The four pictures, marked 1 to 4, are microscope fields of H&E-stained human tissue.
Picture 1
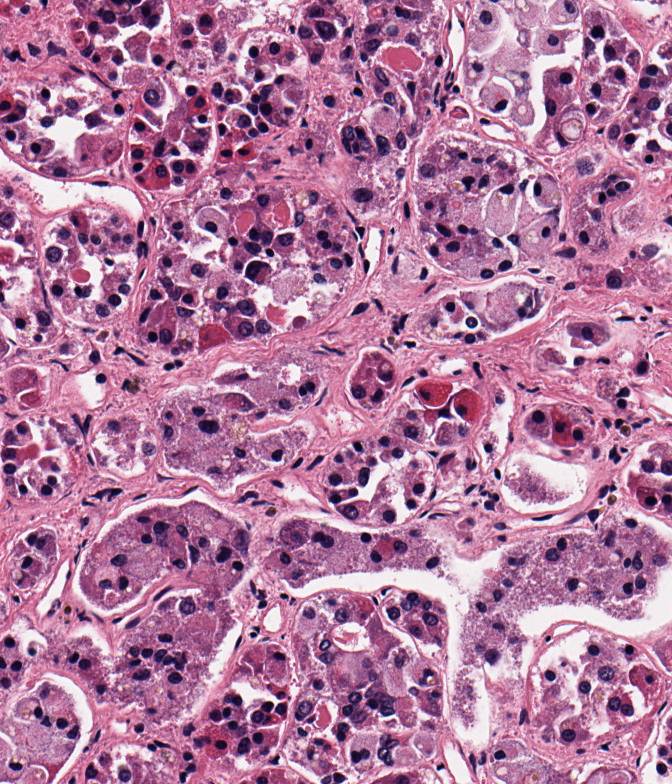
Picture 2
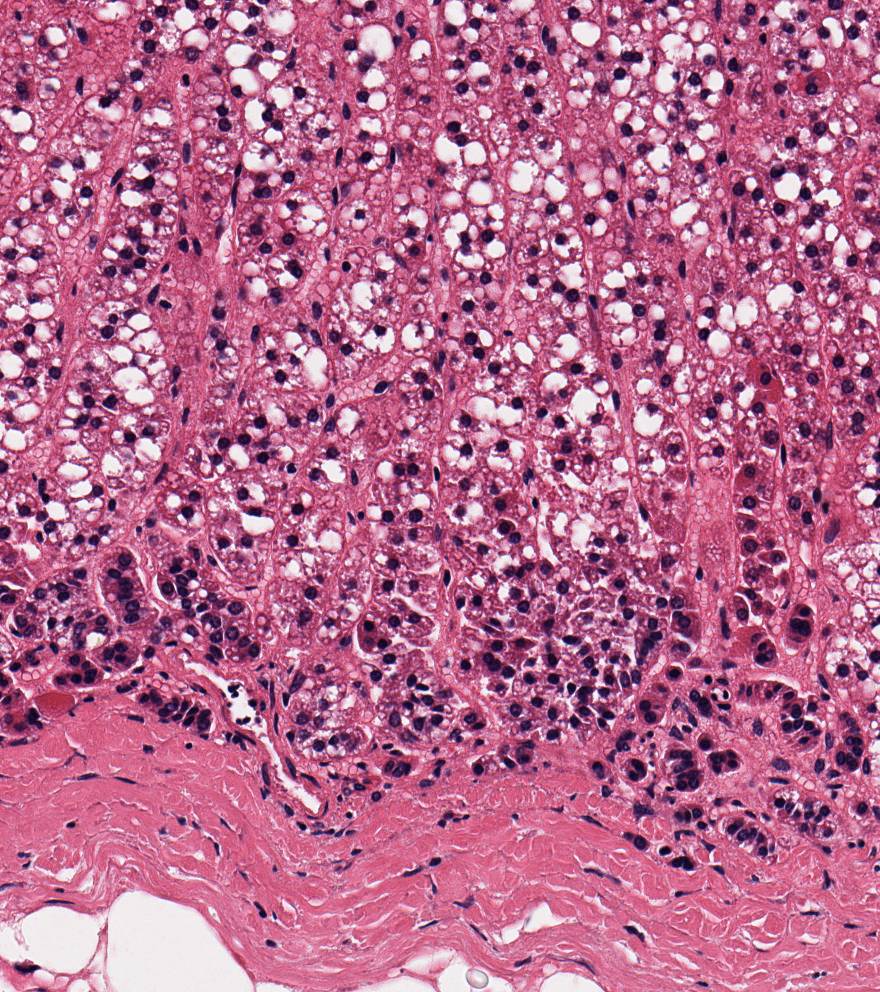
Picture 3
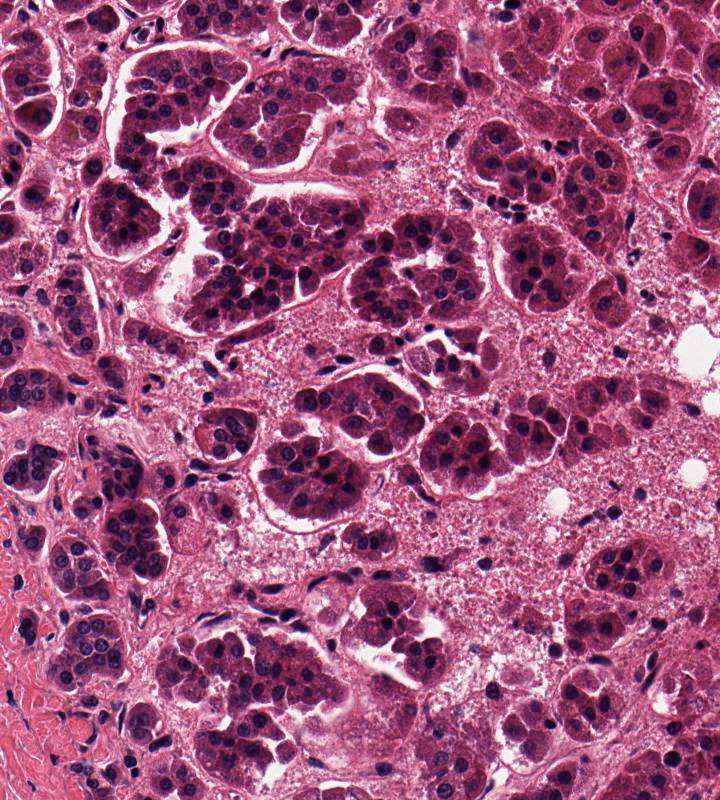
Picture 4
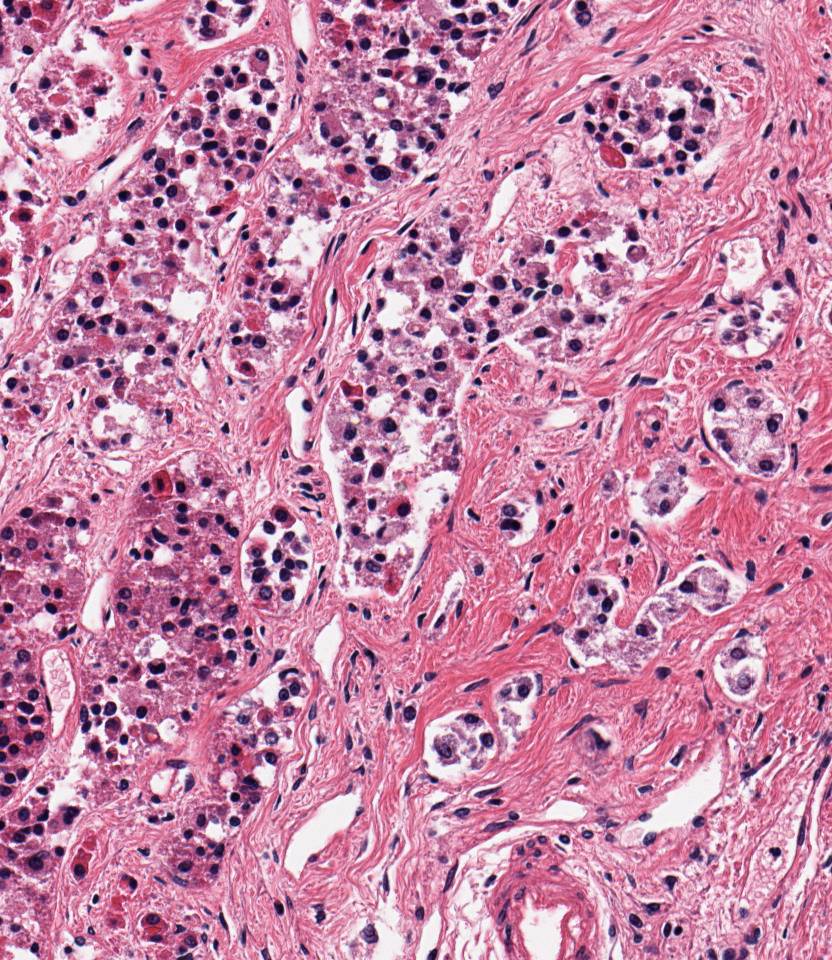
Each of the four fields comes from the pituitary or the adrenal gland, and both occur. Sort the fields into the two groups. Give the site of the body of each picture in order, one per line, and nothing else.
pituitary
adrenal gland
adrenal gland
pituitary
